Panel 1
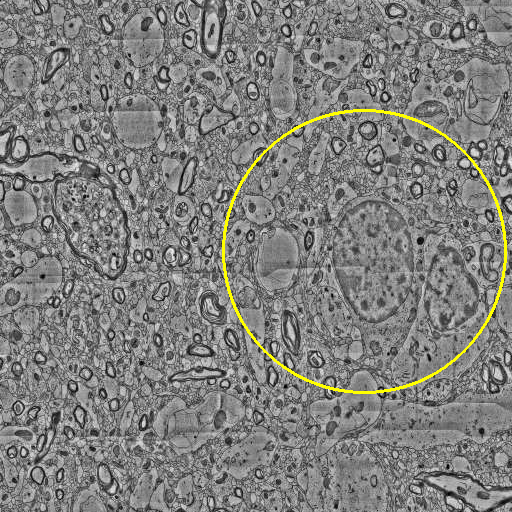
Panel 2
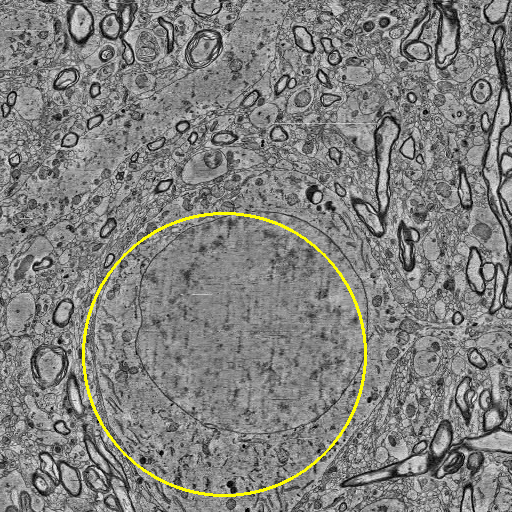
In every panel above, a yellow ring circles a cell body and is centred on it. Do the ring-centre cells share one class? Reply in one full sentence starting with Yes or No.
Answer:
No, the two cells at the ring centres in the panels belong to two classes.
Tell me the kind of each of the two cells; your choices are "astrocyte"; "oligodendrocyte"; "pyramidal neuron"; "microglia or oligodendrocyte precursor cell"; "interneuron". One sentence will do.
The ringed cell is an oligodendrocyte in the first picture and a pyramidal neuron in the second picture.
